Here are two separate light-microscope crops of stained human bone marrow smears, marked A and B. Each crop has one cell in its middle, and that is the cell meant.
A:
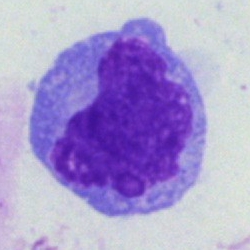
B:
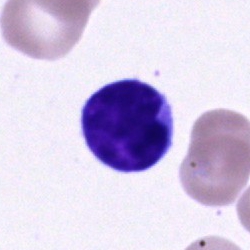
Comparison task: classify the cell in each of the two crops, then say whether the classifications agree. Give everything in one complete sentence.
No, in fact crop A shows a monocyte, and crop B shows a lymphocyte.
